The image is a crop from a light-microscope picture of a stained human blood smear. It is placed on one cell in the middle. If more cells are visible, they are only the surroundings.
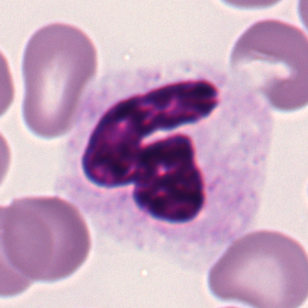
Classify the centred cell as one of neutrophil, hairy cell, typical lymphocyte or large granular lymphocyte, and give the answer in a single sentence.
For this crop, the central cell is a neutrophil.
